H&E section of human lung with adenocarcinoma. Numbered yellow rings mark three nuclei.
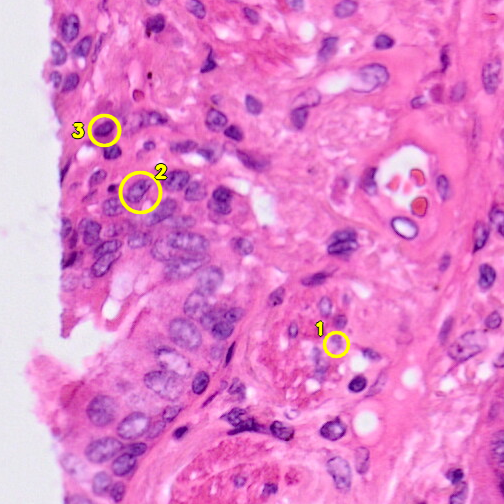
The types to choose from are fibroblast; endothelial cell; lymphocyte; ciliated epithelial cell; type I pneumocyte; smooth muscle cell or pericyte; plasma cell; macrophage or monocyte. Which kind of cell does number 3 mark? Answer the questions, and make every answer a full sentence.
Identified by the number 3, the cell is a plasma cell.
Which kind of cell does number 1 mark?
The cell to which the number 1 is assigned is a smooth muscle cell or pericyte.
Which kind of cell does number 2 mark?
Cell 2, as marked in the section, is a ciliated epithelial cell.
